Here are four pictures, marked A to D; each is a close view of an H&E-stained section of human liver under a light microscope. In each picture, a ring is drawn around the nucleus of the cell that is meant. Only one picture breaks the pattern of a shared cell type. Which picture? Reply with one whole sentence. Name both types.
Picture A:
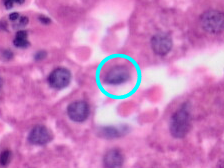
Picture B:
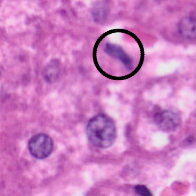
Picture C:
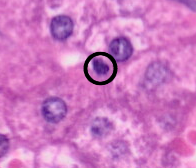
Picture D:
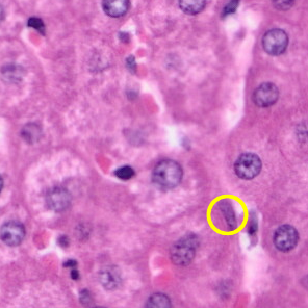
All pictures except C show Kupffer cells; picture C shows a “fibroblast or stellate cell”.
